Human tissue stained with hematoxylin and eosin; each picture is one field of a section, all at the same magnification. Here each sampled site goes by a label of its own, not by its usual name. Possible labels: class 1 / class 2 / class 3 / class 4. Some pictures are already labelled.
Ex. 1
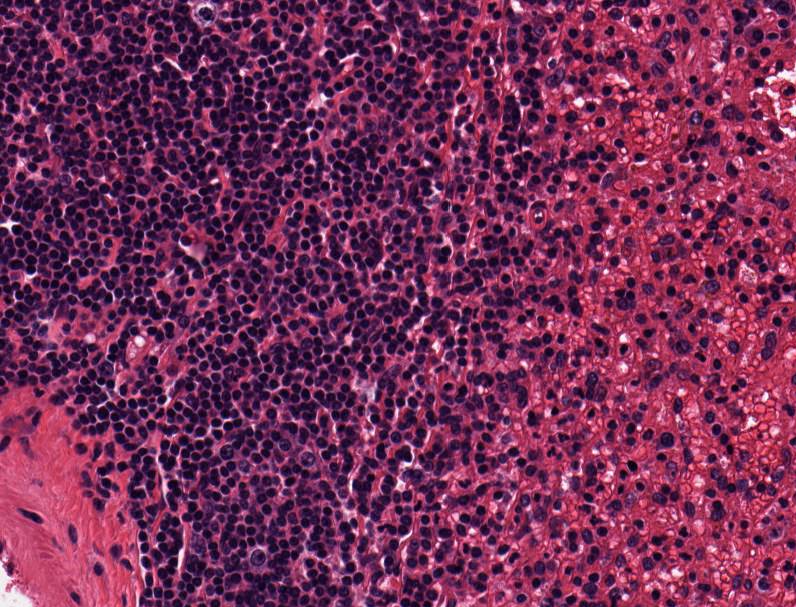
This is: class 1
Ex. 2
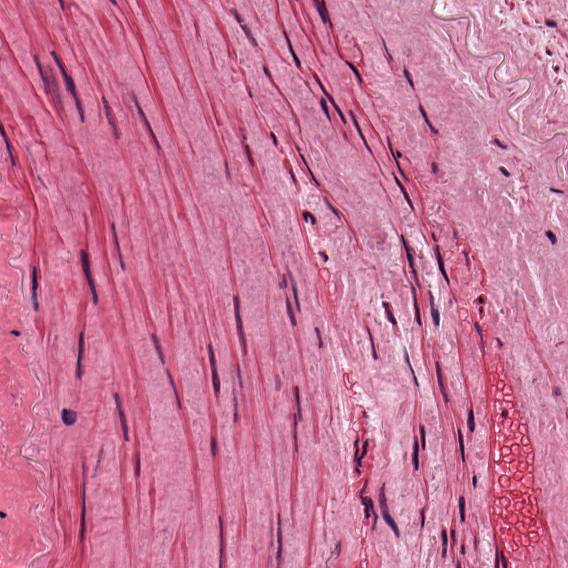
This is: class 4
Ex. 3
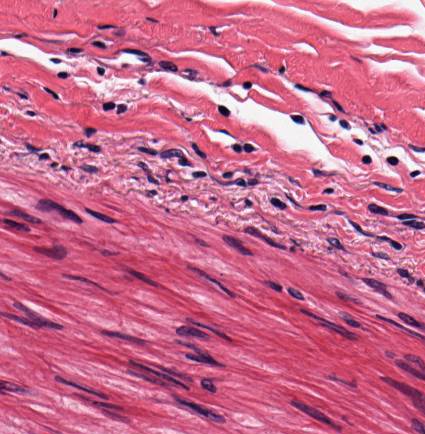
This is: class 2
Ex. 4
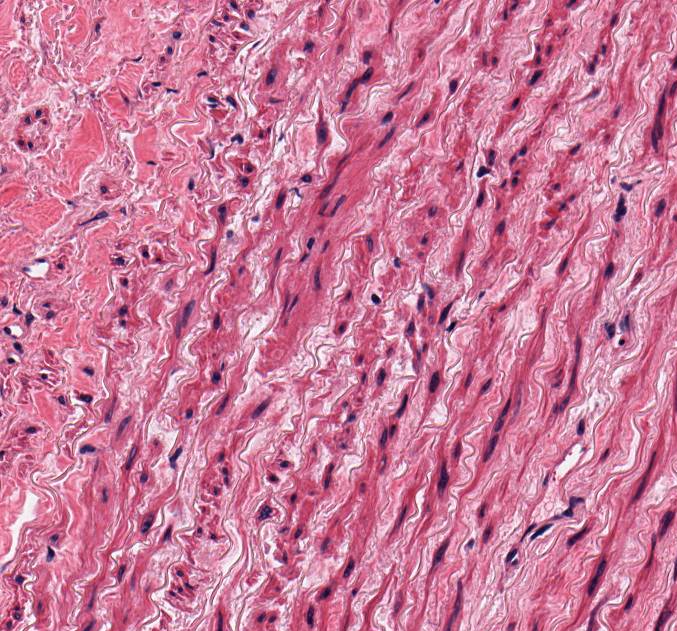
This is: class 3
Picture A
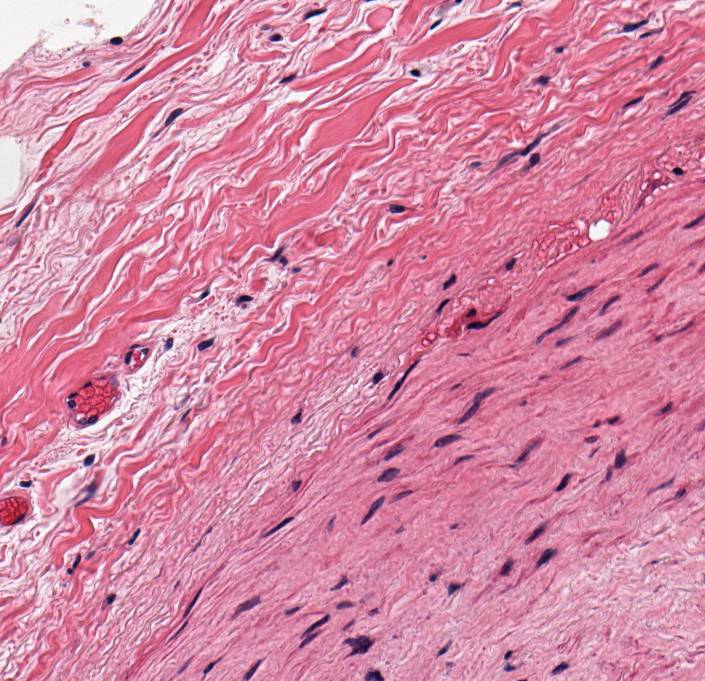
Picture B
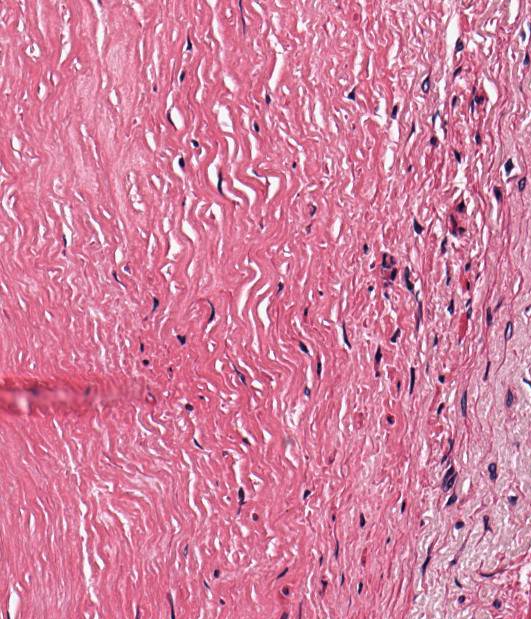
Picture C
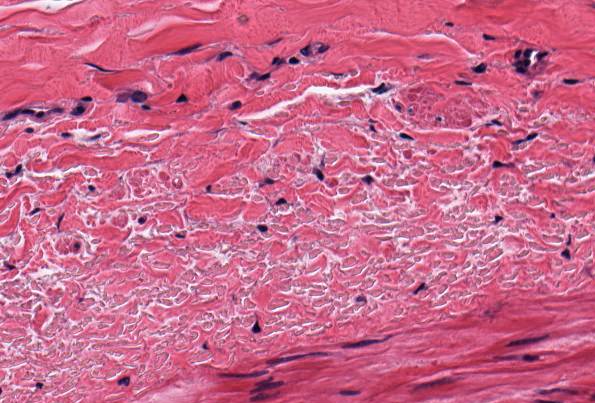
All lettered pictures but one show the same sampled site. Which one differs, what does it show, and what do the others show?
C: class 4; all the others: class 2.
